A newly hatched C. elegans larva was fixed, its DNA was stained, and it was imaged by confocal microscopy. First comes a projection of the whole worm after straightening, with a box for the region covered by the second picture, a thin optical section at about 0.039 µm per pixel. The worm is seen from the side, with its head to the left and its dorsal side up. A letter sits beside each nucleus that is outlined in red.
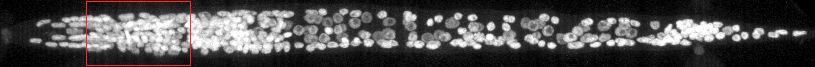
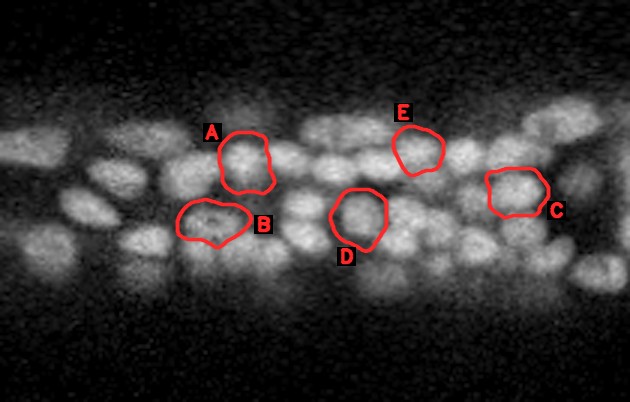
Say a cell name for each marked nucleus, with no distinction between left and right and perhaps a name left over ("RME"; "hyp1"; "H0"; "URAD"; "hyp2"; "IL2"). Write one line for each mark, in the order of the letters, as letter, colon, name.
A: hyp1
B: H0
C: RME
D: IL2
E: URAD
